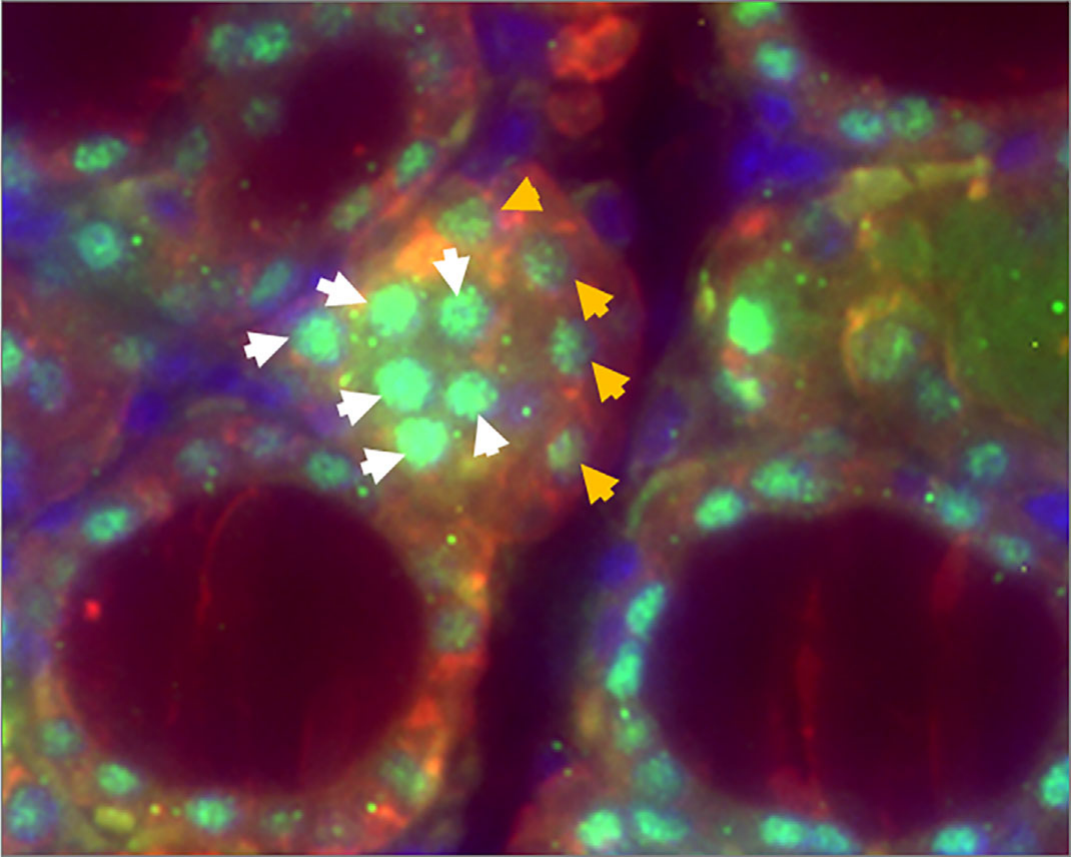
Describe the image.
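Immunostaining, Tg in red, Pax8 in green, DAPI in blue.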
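Thyroid tissue with large round follicles whose dark lumens are lined by a single layer of epithelial cells with green-stained nuclei and reddish cytoplasm. Between the follicles, near the centre, lies a compact parafollicular collection of cells with large, rounded green nuclei and little red around them, edged by smaller green nuclei set in red cytoplasm.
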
